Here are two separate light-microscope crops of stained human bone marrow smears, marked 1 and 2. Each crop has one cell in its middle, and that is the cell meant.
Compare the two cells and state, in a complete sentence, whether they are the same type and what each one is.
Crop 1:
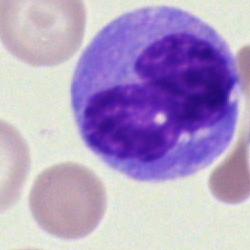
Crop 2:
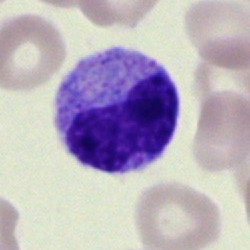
No, a metamyelocyte is the cell in crop 2, and crop 1 contains a monocyte.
